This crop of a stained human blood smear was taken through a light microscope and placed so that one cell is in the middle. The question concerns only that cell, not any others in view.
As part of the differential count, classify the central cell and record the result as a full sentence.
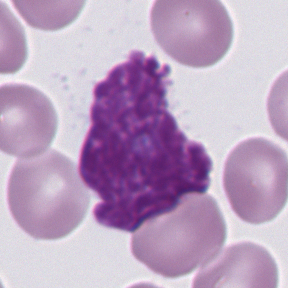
Answering briefly, the cell in the middle is a smudge cell.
